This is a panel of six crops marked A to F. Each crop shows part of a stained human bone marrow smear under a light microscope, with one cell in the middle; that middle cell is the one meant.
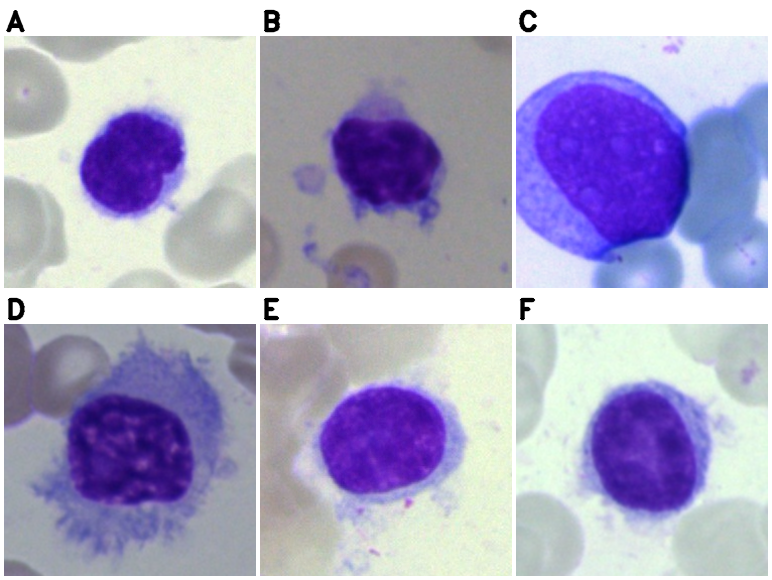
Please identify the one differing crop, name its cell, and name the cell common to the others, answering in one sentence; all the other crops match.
The cells centred in the other crops are all hairy cells, but crop C is a blast.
